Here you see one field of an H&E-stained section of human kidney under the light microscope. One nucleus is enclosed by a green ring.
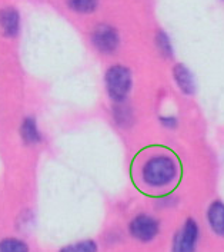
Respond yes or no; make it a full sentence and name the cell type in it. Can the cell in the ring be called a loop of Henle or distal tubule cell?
No, the cell in the ring is scored as a collecting duct cell and not as a loop of Henle or distal tubule cell.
